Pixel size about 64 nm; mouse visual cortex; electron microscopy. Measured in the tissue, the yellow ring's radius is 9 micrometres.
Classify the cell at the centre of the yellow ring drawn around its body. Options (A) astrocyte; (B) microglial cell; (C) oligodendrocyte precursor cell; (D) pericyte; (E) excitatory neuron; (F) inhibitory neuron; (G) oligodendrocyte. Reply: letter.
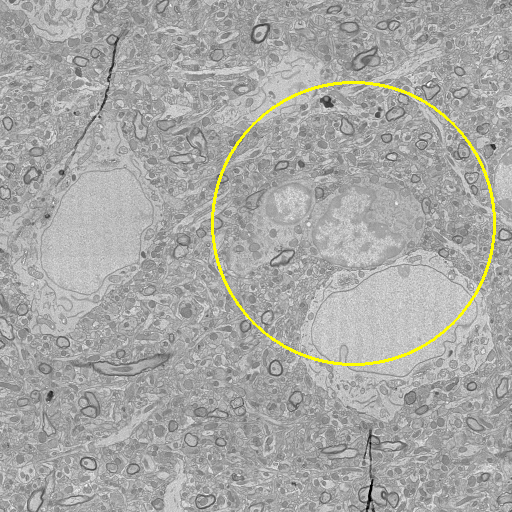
G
